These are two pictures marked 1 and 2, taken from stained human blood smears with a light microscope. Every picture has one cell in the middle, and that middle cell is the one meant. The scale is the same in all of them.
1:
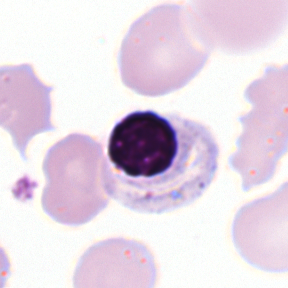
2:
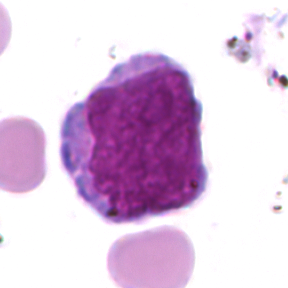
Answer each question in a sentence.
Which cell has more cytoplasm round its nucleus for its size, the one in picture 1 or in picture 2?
The nucleus fills less of the cell in picture 1 than in picture 2.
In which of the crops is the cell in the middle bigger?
Larger is the cell in picture 2, at roughly 2 times the area of the other.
